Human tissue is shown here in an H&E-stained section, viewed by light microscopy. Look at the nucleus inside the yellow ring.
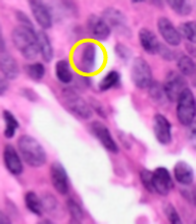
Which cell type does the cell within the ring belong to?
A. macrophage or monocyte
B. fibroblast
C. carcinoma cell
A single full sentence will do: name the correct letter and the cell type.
Option C gets it right: the cell within the ring is a carcinoma cell.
